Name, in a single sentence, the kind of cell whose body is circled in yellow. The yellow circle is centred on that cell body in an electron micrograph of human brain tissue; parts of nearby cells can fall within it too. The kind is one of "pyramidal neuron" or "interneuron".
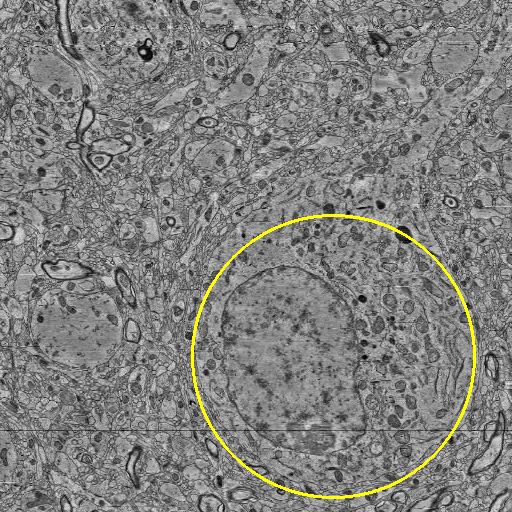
The circled cell body belongs to an interneuron.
